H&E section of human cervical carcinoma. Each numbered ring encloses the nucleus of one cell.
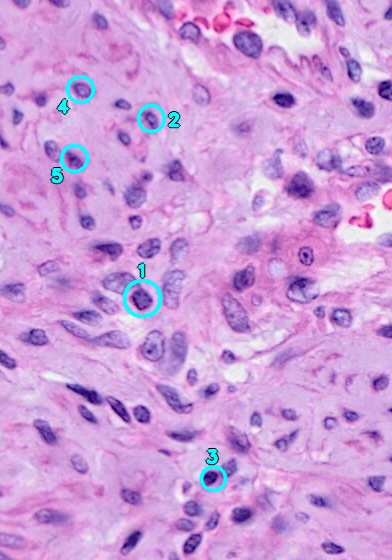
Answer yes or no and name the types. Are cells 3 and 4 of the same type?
No, a lymphocyte is what cell 3 is, and a smooth muscle cell is what cell 4 is.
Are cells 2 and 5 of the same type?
Yes, the pair of cells 2 and 5 are both smooth muscle cells.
